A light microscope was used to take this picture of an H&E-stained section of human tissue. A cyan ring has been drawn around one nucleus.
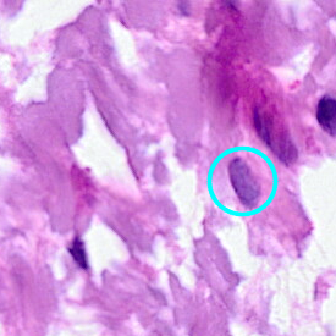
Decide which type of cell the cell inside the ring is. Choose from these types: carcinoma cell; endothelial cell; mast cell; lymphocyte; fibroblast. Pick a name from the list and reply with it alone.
fibroblast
